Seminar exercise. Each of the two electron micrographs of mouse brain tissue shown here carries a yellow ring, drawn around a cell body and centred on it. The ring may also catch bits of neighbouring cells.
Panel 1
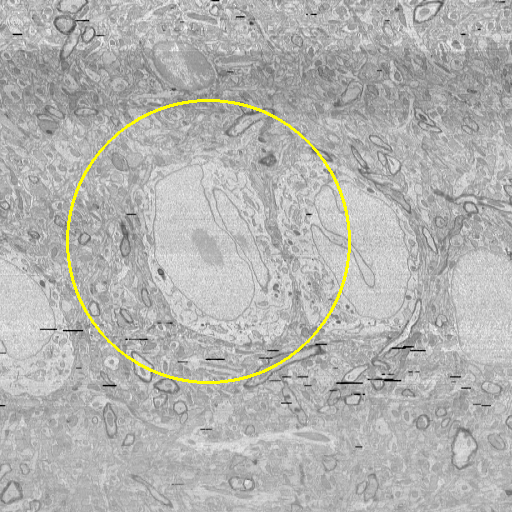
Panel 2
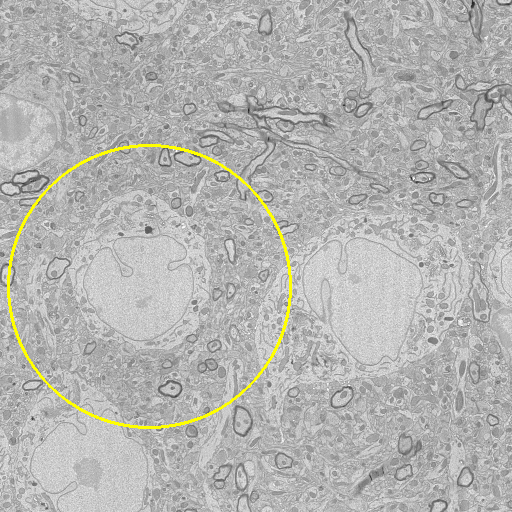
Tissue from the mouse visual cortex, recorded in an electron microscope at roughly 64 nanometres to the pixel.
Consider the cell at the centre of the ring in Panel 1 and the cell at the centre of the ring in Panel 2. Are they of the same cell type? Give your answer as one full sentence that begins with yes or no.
Yes, both cells are of the same type.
